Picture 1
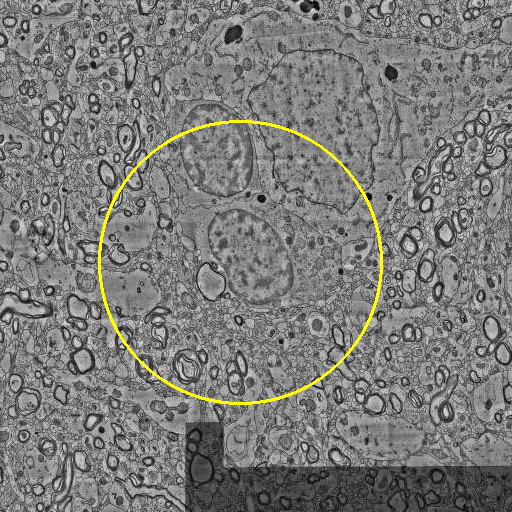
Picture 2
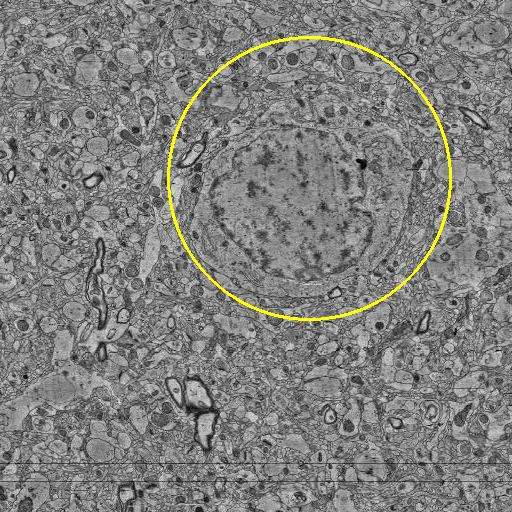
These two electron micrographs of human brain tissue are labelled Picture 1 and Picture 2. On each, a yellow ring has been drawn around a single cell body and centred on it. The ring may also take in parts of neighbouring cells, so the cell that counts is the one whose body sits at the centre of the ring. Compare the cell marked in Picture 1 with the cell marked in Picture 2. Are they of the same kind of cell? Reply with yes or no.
no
